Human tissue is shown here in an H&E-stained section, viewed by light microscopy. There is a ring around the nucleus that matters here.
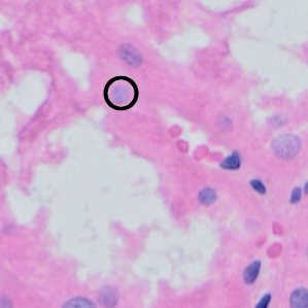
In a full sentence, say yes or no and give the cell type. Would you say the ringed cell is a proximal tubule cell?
Yes, the ringed cell is rightly regarded as a proximal tubule cell.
